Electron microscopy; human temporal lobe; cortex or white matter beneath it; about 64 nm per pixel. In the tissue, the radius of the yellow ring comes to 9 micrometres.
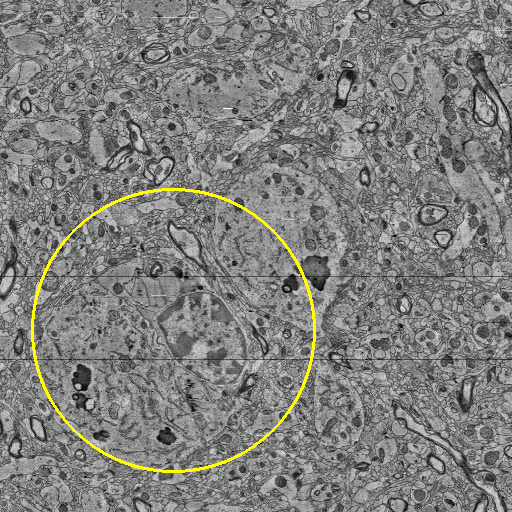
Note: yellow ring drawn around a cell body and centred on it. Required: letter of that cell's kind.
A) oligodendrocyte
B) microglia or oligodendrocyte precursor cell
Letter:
B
